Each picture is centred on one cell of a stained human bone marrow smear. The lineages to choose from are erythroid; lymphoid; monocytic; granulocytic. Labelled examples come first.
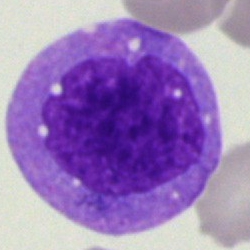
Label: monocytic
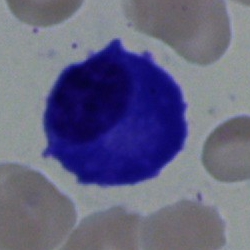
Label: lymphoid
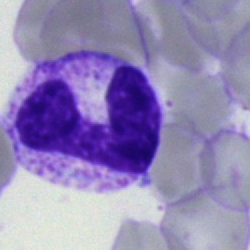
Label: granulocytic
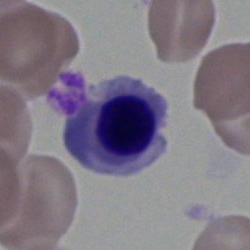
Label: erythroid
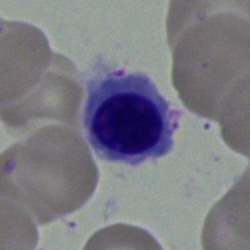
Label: erythroid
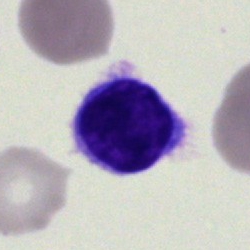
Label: lymphoid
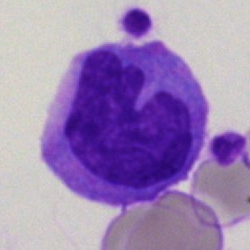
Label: monocytic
